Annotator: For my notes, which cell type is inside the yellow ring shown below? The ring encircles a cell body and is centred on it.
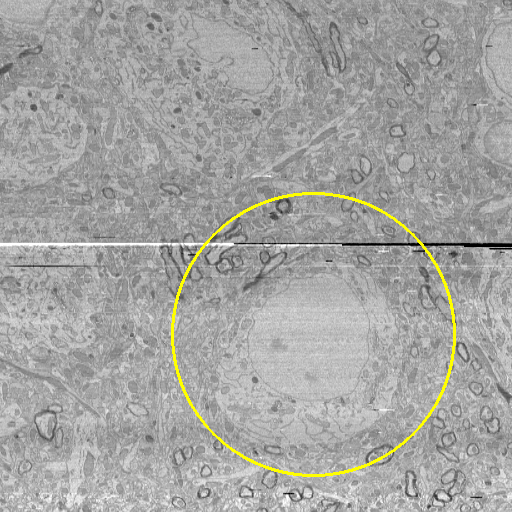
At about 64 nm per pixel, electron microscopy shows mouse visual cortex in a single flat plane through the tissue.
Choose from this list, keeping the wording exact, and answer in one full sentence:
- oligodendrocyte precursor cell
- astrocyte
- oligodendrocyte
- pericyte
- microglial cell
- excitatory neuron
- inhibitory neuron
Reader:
At the centre of the yellow ring there is an excitatory neuron, as shown in the picture.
